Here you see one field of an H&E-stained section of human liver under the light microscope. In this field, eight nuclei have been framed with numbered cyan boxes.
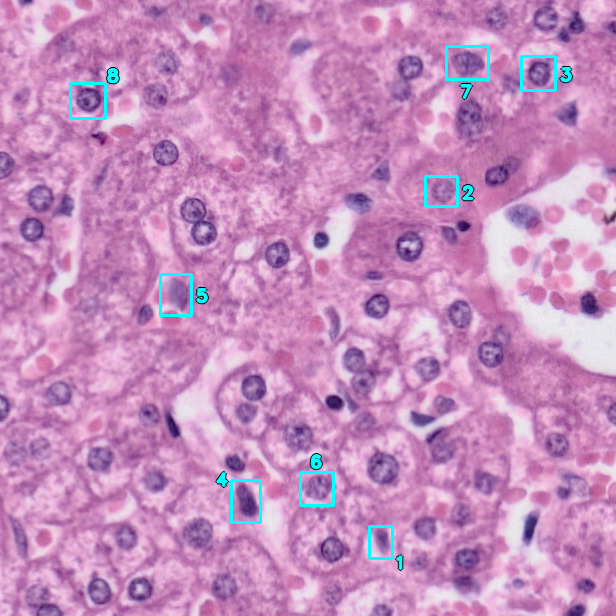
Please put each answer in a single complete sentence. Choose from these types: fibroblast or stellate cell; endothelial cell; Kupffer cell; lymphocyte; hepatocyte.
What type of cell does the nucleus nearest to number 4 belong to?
Number 4 lies closest to the nucleus of a lymphocyte.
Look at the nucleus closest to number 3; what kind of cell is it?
The nearest nucleus to number 3 belongs to a hepatocyte.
